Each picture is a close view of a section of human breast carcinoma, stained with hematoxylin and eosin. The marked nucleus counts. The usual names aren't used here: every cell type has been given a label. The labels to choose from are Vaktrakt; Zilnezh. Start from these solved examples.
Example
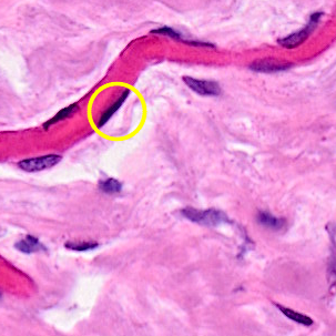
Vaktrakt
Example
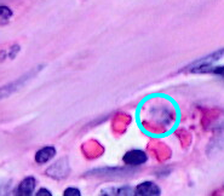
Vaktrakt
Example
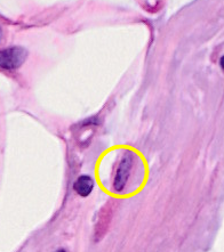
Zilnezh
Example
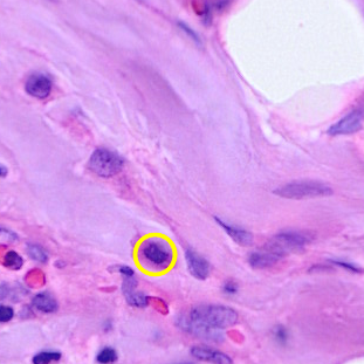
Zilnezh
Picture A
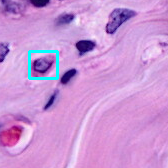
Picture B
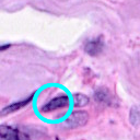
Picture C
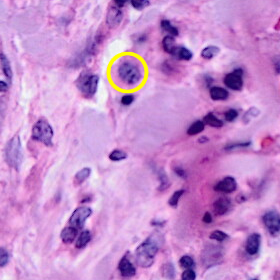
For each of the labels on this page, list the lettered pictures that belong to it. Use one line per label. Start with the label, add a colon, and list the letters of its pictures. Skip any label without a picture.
Vaktrakt: B
Zilnezh: A, C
